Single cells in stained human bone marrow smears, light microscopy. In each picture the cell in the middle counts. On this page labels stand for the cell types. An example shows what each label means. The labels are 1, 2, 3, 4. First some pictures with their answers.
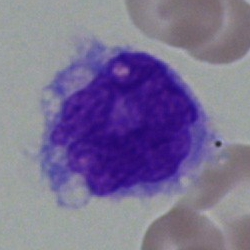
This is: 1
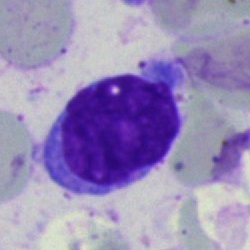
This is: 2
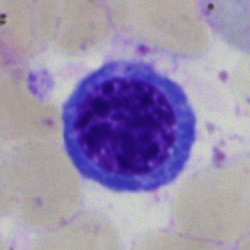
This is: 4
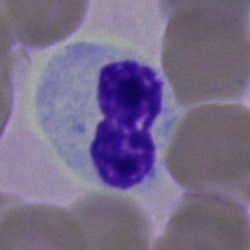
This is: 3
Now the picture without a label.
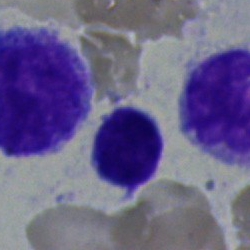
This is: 2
